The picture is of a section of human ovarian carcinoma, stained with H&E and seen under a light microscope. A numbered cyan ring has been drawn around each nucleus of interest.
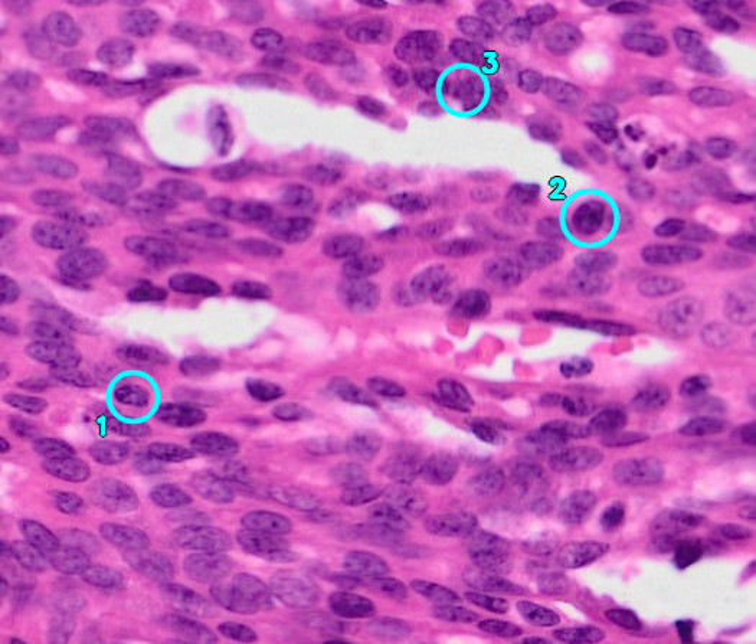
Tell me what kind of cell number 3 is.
carcinoma cell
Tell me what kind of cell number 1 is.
macrophage or monocyte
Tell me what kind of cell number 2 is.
carcinoma cell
